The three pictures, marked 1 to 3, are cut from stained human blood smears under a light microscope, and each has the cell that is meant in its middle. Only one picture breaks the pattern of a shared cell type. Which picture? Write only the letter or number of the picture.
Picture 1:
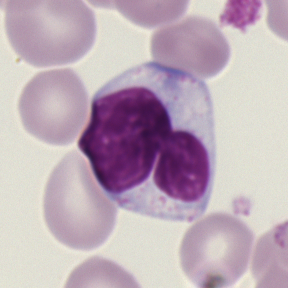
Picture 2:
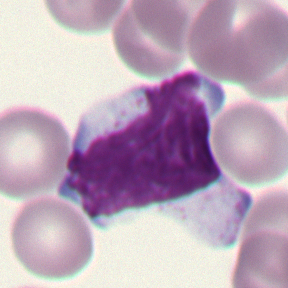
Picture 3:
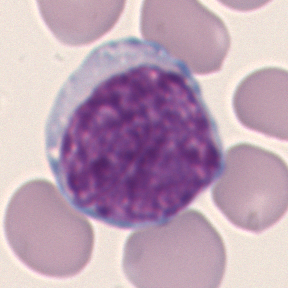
3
